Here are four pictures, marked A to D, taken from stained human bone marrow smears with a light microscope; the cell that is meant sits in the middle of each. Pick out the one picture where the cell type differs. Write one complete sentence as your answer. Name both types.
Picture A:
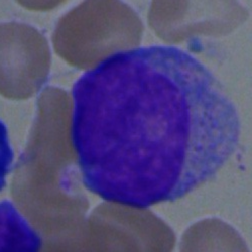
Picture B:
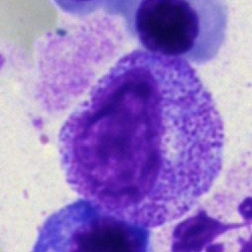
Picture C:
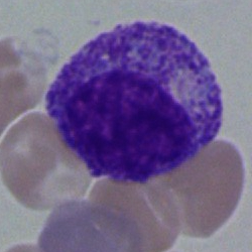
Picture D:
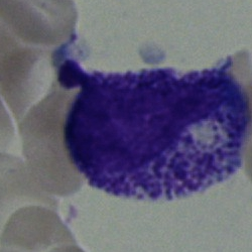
The different one is picture A; it shows a blast, whereas all the others show myelocytes.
